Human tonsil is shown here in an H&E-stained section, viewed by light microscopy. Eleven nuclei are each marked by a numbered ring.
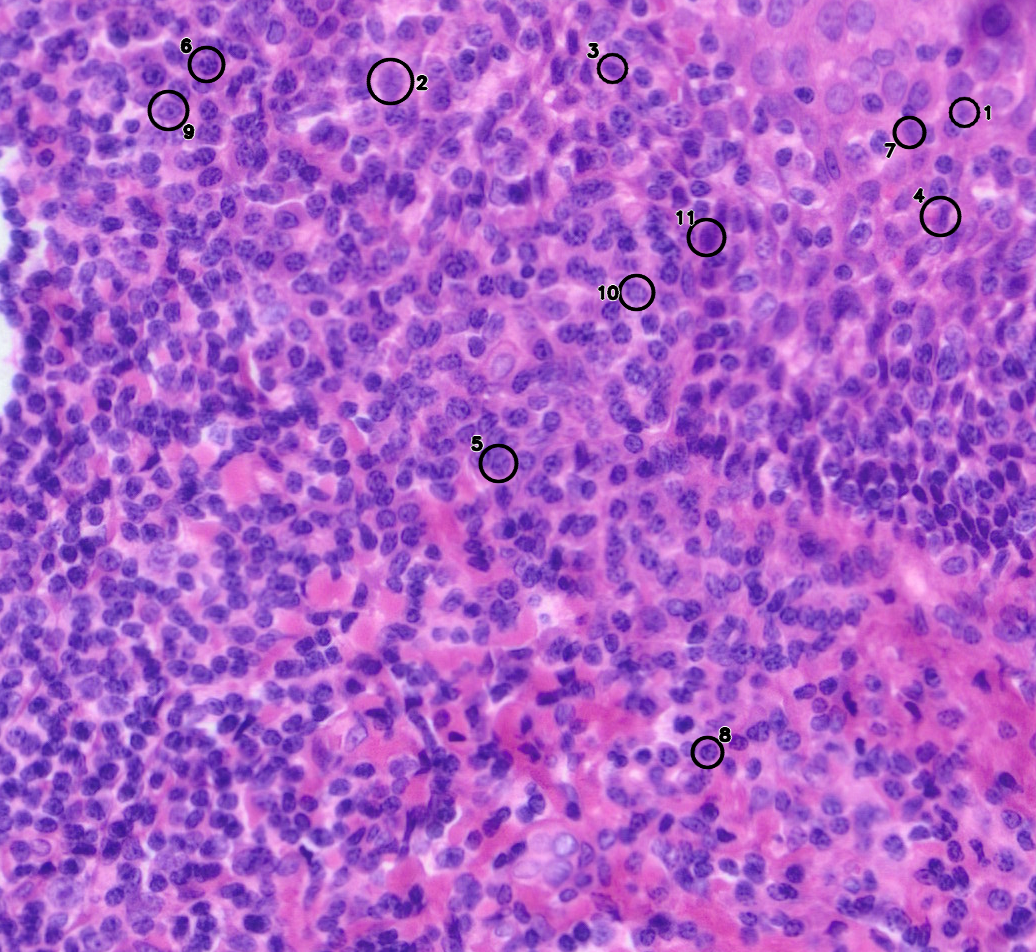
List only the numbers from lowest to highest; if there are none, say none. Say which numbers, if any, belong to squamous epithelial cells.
1, 2, 3, 4, 7, 11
